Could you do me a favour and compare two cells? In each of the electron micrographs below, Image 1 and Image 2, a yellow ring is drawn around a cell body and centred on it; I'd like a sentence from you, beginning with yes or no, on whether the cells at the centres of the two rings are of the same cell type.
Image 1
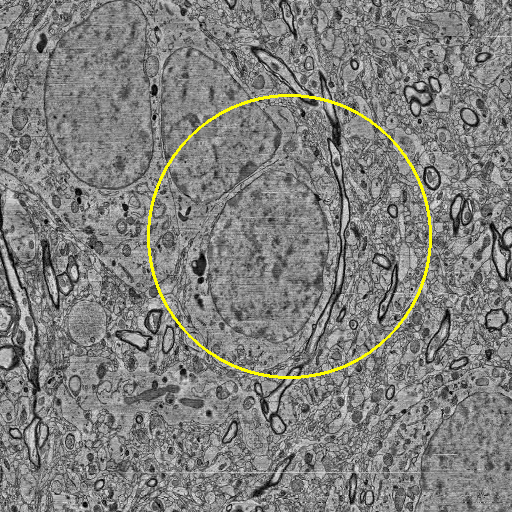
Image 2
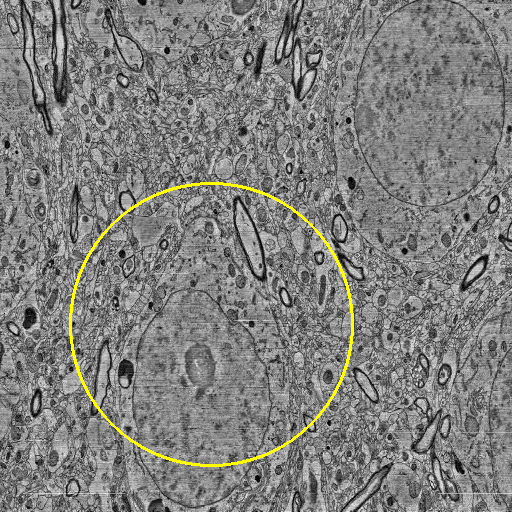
No, the two cells are of two cell types.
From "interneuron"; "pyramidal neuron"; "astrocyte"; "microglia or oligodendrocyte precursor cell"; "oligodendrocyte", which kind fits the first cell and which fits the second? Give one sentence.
The cell marked in the first picture is an interneuron, and the one marked in the second is a pyramidal neuron.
